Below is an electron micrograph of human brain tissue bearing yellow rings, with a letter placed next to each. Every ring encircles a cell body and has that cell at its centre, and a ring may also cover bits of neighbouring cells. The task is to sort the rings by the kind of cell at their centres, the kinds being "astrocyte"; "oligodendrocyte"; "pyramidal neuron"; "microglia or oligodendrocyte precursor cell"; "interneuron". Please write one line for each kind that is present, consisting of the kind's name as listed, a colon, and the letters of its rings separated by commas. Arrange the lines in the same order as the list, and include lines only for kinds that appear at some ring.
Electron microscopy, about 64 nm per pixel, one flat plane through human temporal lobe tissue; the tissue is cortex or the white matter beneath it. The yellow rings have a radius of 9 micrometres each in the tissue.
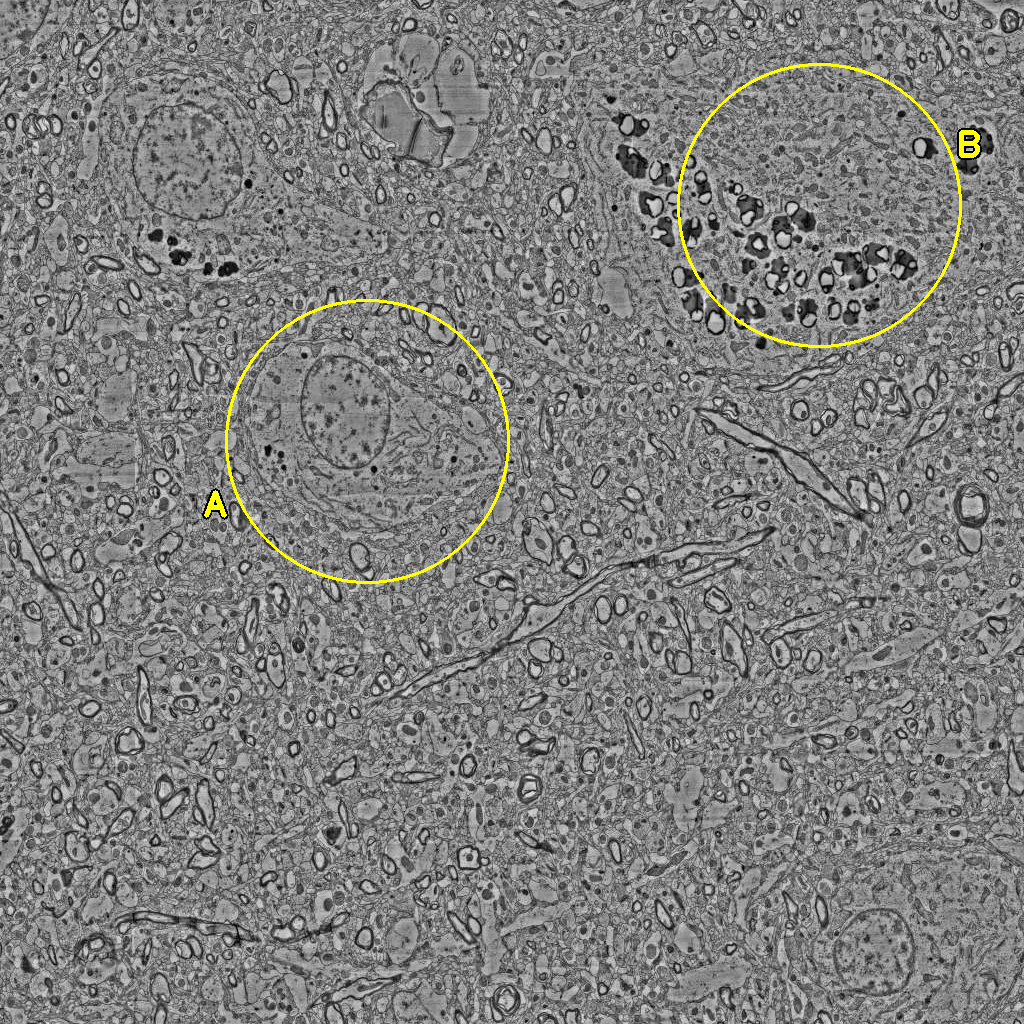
pyramidal neuron: A, B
